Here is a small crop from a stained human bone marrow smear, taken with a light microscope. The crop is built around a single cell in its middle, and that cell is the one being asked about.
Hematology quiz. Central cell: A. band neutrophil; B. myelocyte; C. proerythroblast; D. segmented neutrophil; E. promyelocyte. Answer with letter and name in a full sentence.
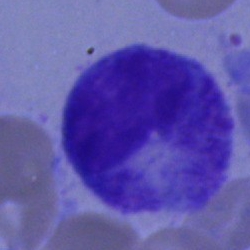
That cell in the center is a promyelocyte, hence option E.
